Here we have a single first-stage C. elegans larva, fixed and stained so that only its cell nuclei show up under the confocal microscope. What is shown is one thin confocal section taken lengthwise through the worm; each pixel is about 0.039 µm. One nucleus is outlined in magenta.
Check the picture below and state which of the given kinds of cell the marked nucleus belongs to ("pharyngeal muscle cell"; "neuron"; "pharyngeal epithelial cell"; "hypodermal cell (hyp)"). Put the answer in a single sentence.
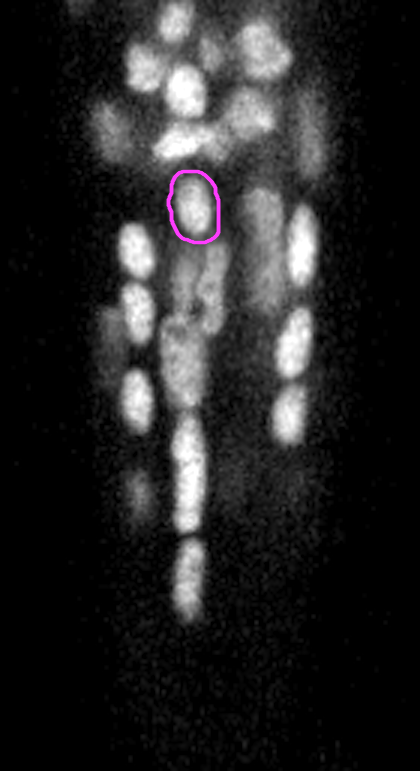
It belongs to a neuron.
